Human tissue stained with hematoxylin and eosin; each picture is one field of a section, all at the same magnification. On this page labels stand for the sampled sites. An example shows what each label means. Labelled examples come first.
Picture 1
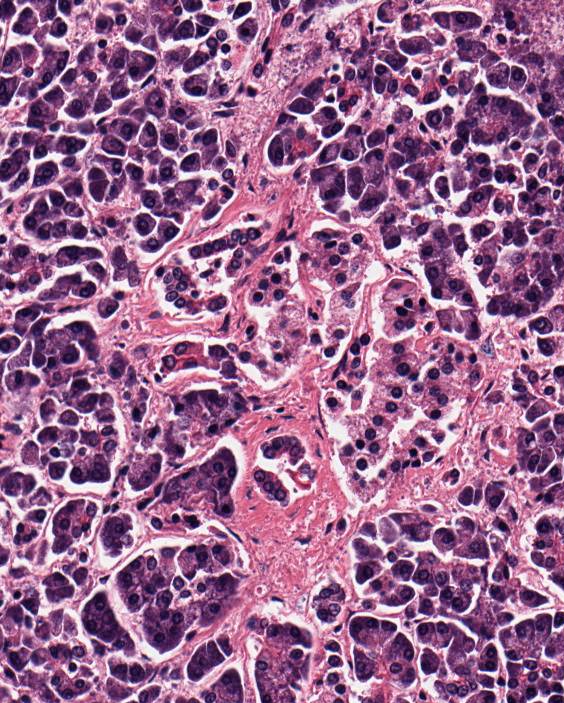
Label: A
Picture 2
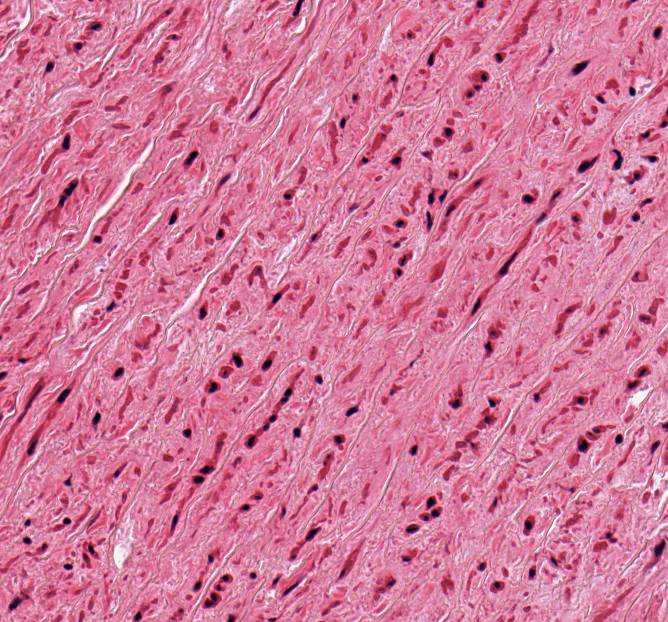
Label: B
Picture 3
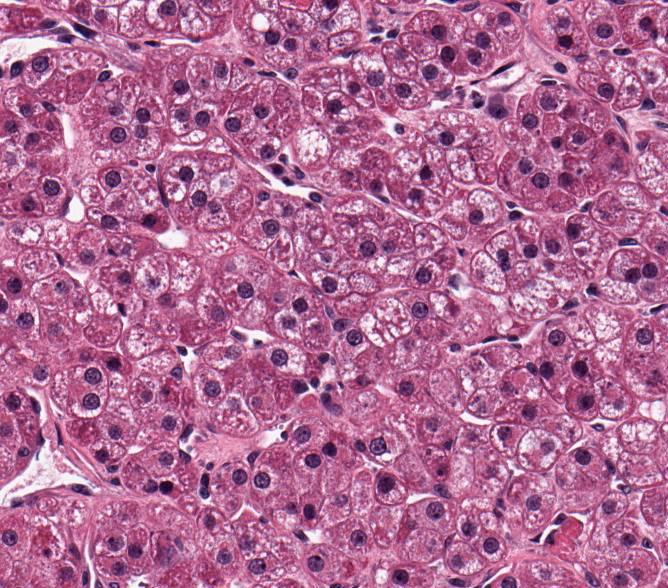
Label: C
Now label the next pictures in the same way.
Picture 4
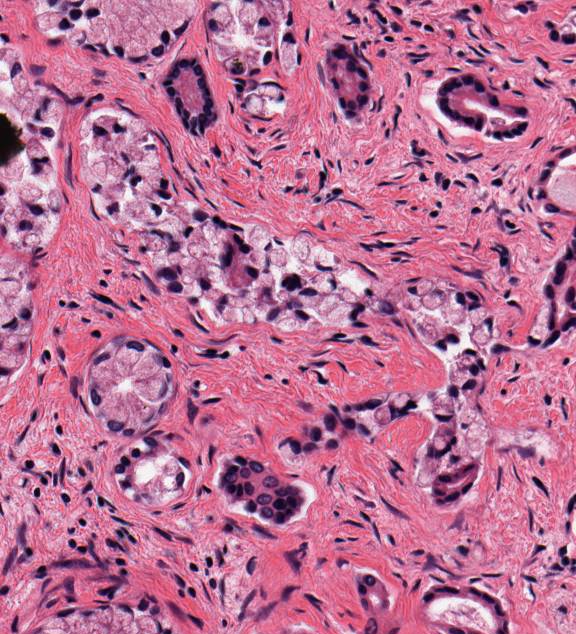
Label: A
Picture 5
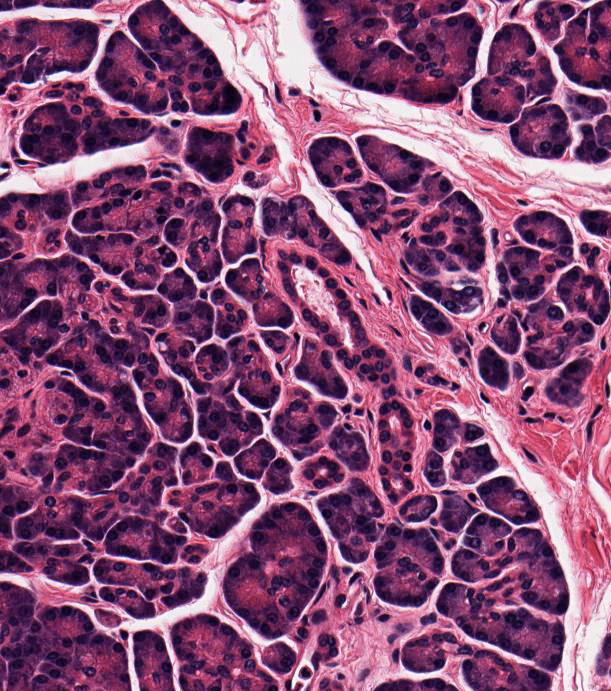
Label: A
